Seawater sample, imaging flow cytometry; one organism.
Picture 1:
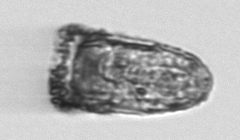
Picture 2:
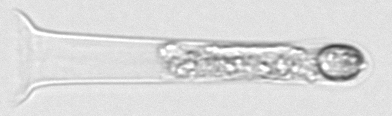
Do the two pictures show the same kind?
Yes, both are tintinnids.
